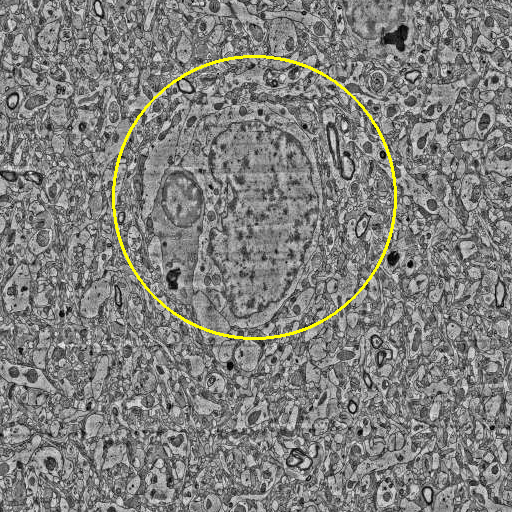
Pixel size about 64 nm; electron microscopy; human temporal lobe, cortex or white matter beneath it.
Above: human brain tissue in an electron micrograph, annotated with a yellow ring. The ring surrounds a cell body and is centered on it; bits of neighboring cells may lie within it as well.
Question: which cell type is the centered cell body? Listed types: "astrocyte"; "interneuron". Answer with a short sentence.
The centered cell body is an interneuron.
